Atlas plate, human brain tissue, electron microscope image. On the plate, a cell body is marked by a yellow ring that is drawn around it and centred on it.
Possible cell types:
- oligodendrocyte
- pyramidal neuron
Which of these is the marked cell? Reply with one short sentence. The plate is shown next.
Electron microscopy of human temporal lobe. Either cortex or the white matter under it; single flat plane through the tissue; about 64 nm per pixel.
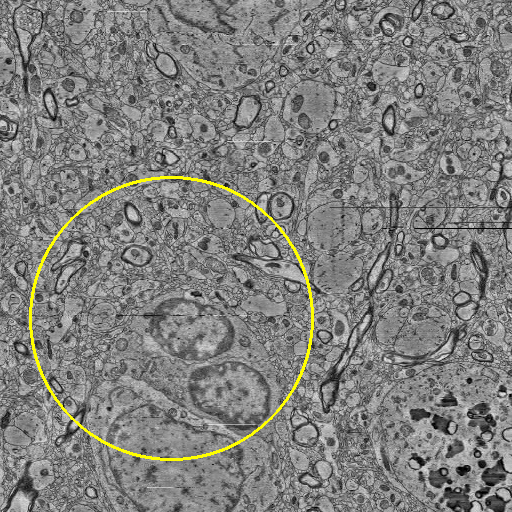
The marked cell is an oligodendrocyte.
